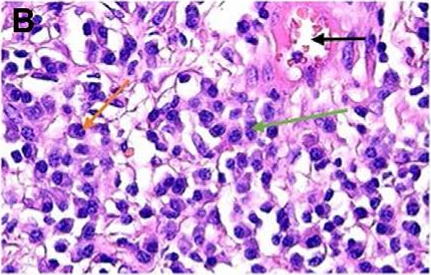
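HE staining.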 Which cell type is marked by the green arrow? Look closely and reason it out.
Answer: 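Lymphocytes. The marked cell is small and round with a dark nucleus. Little cytoplasm surrounds the nucleus.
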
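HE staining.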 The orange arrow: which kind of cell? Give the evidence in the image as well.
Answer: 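The marked cell has a round nucleus placed off to one side of the cell. The answer: plasma cells.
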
